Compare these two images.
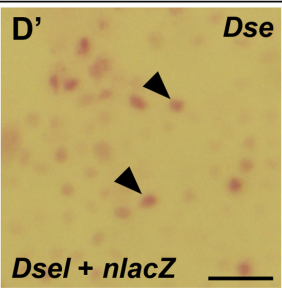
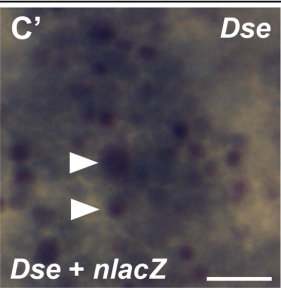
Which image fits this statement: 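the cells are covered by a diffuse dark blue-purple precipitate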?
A: The second image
